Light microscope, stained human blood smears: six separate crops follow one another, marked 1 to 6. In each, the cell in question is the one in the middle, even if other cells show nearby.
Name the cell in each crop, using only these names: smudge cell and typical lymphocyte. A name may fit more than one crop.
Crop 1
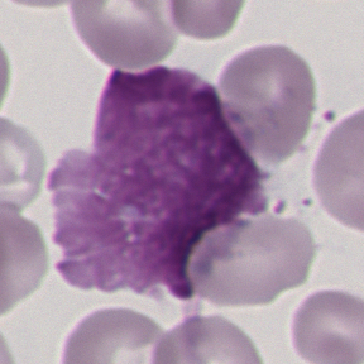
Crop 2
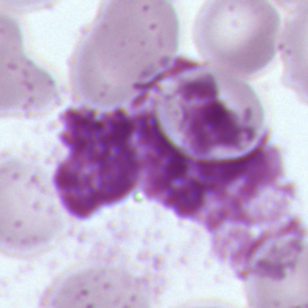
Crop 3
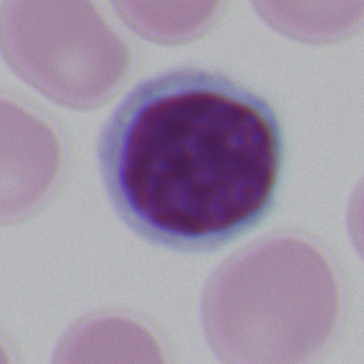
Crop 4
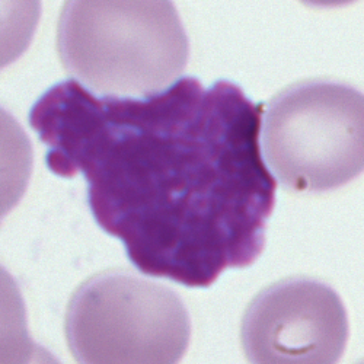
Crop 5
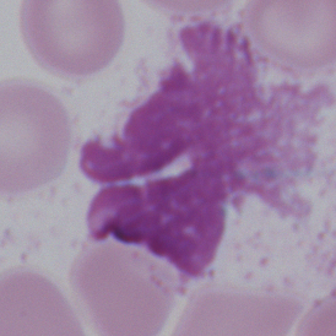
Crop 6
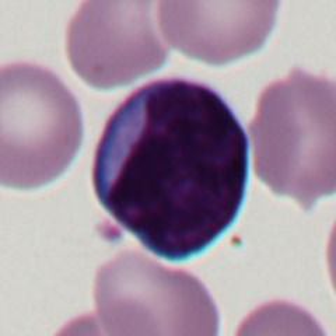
1: smudge cell
2: smudge cell
3: typical lymphocyte
4: smudge cell
5: smudge cell
6: typical lymphocyte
